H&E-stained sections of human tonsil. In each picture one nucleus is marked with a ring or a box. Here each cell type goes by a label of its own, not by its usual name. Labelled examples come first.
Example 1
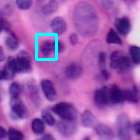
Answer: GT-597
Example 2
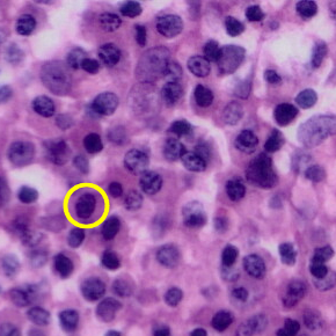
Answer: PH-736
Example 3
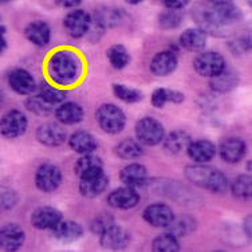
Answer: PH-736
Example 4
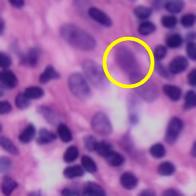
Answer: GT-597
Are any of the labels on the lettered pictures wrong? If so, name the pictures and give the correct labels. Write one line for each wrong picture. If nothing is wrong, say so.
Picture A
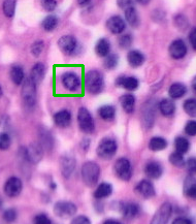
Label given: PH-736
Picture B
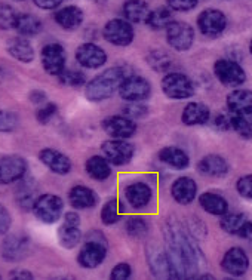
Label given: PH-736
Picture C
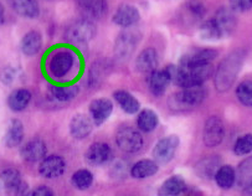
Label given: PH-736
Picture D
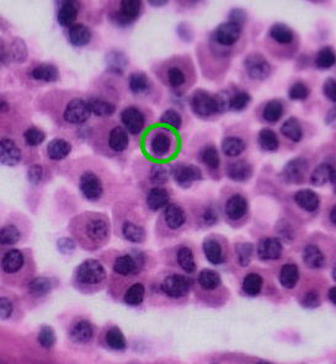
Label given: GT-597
D: PH-736, not GT-597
